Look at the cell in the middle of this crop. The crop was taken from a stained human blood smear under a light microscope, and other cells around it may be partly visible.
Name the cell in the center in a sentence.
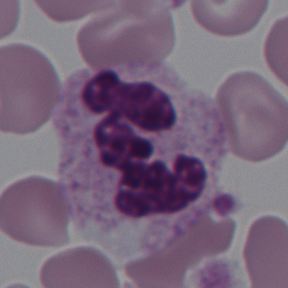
The cell at the middle of the crop is recognized as a segmented neutrophil.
